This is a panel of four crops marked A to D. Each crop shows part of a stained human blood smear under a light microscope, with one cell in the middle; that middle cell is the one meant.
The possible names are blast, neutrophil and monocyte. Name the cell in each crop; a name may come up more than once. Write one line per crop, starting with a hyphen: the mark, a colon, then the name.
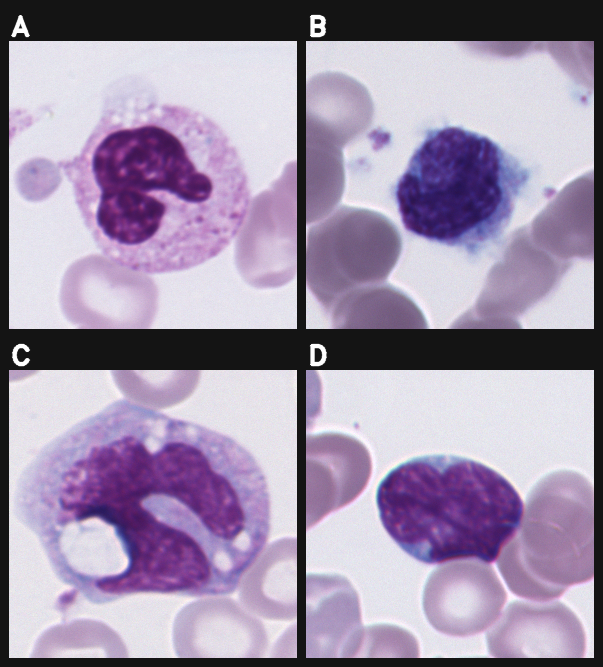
- A: neutrophil
- B: monocyte
- C: monocyte
- D: blast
